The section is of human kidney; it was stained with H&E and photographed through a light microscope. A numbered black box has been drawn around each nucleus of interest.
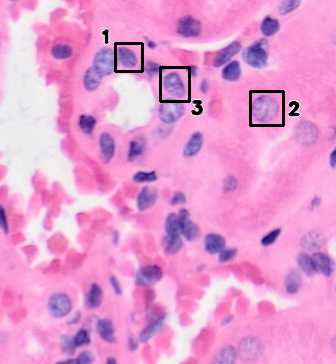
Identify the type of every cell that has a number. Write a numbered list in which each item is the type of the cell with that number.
1. collecting duct cell
2. proximal tubule cell
3. collecting duct cell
